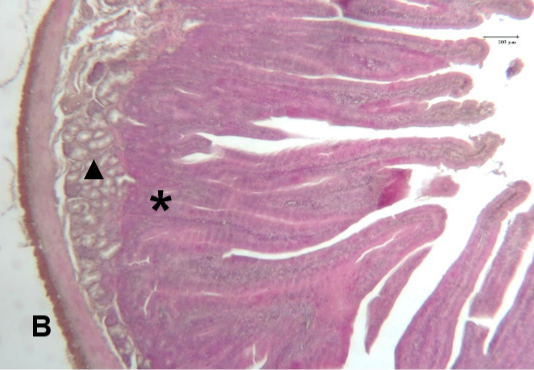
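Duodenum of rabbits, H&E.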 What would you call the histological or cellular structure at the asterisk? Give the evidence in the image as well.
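Crypts of Lieberkühn. The asterisk lies in the mucosa below the bases of the villi. Tubular glands run perpendicular to the wall in this zone. A band of pale glandular lobules lies just outside it.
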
